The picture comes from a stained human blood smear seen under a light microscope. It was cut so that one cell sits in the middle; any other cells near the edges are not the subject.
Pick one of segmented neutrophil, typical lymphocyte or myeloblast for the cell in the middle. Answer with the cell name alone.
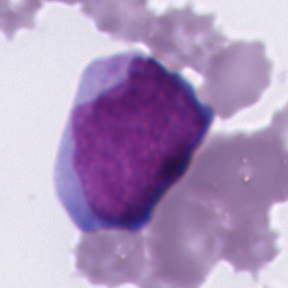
myeloblast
